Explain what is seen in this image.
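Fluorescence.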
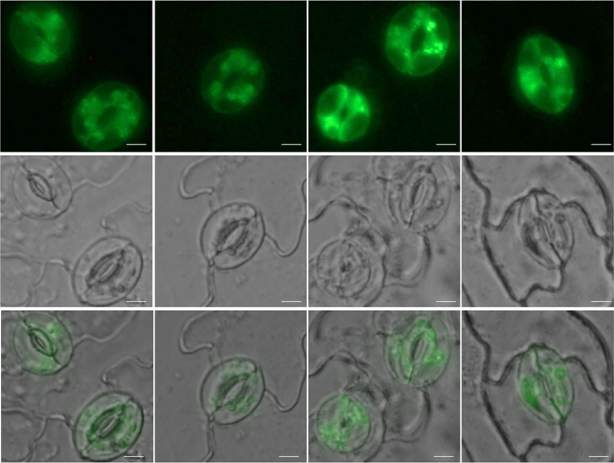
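This is a leaf epidermal peel, and each frame centres on stomata: pairs of bean-shaped guard cells curving around a narrow slit-like pore. In bright field, the surrounding pavement cells show wavy, jigsaw-like outlines that meet the stomatal pair. The green fluorescence is confined to the guard cells. Within them it is patchy and granular, with bright blobs scattered through the cytoplasm, and it leaves the pore itself dark. In the merged row, the green overlays the paired guard cells exactly, while the neighbouring pavement cells stay essentially unlabelled.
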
